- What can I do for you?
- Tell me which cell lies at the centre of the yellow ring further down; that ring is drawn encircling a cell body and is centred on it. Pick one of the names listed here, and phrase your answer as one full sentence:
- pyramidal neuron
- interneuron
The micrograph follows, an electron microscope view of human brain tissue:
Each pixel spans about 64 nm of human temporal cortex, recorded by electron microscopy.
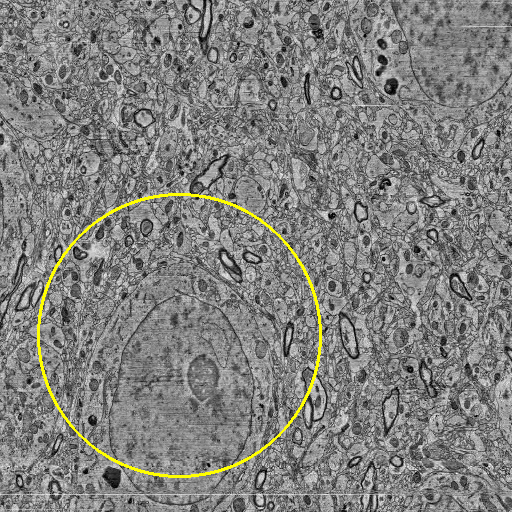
The cell whose body lies at the centre of the yellow ring is a pyramidal neuron.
